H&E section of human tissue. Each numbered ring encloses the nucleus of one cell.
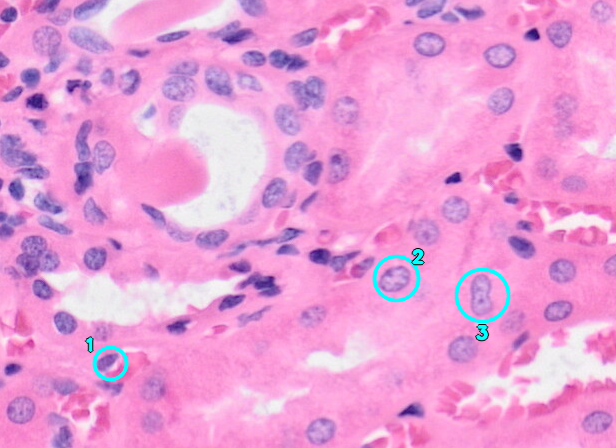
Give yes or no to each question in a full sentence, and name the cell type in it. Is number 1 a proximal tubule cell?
No, number 1 marks an endothelial cell rather than a proximal tubule cell.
